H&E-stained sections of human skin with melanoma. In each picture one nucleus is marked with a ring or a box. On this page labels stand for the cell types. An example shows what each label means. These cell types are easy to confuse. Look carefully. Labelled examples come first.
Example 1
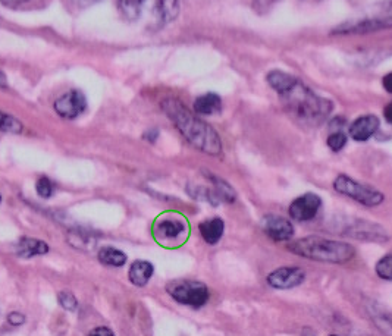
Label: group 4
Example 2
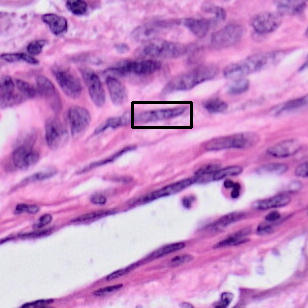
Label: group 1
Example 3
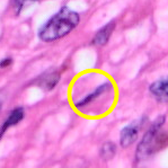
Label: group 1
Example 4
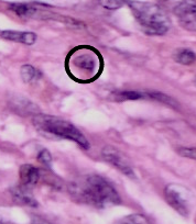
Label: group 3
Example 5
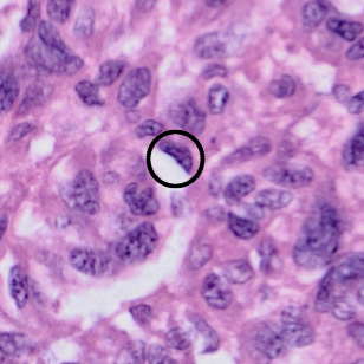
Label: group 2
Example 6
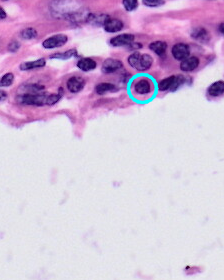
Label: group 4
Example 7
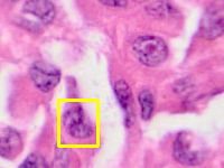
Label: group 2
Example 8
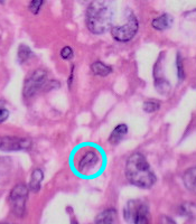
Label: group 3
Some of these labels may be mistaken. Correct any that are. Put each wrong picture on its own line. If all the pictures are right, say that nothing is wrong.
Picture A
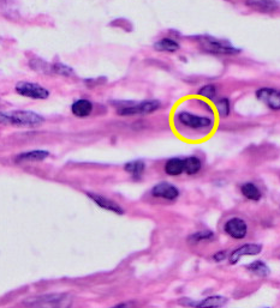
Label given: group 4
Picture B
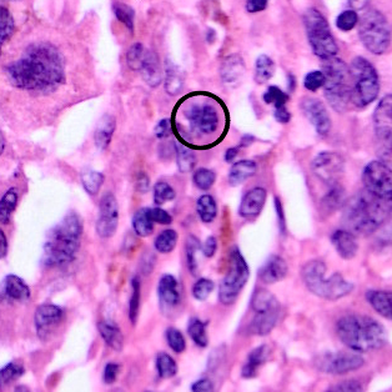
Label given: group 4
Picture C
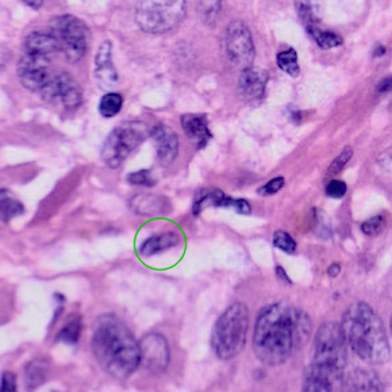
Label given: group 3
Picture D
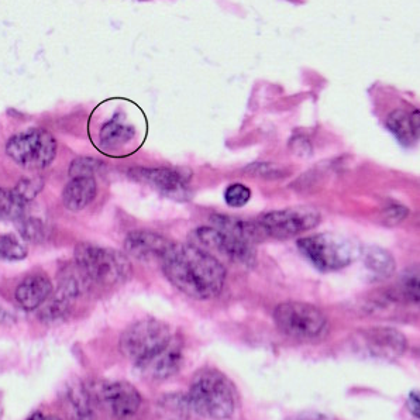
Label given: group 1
D: not group 1 but group 3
